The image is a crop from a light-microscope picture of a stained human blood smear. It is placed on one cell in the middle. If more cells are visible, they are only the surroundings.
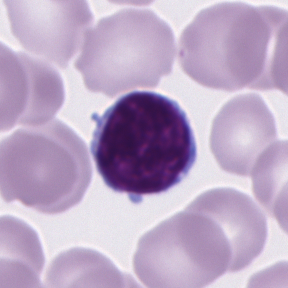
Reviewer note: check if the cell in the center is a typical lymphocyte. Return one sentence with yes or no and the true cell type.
Yes, that is a typical lymphocyte in the middle of the crop.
